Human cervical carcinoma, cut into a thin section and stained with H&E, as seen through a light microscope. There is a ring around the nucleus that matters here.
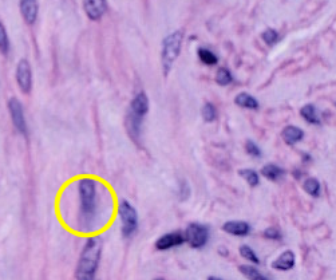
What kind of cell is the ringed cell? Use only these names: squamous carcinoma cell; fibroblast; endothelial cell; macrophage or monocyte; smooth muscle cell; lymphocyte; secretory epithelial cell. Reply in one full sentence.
On this particular slide, the ringed cell is a smooth muscle cell.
